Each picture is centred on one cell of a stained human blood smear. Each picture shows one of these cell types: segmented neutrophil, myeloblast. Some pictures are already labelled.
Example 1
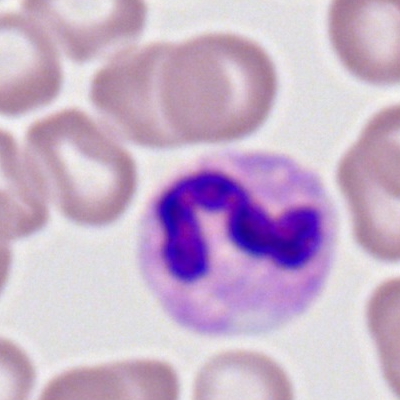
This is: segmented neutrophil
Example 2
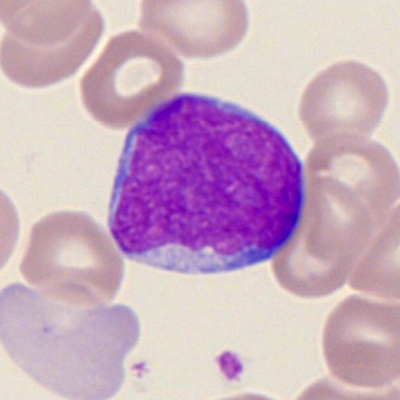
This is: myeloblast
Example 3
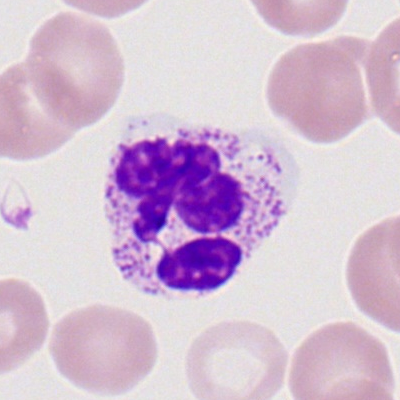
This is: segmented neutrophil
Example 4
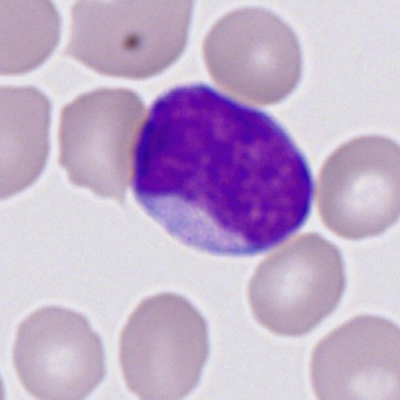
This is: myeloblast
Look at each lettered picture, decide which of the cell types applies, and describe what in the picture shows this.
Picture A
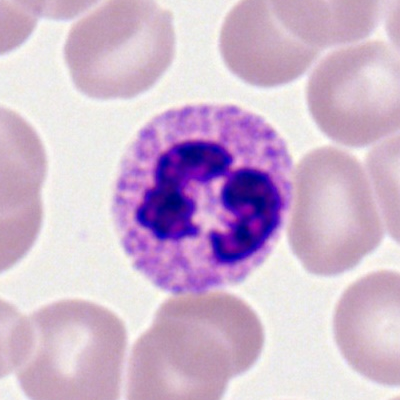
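Label: segmented neutrophil. The cytoplasm is abundant and pale pinkish-lilac.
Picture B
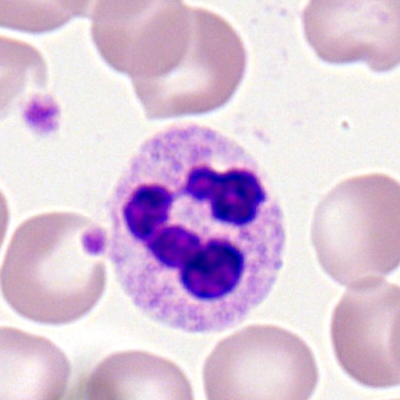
Label: segmented neutrophil. The cytoplasm is pale pinkish-lilac.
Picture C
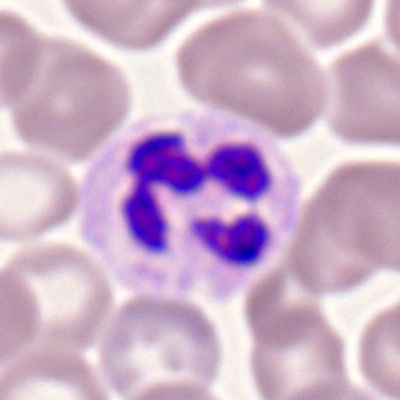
Label: segmented neutrophil. The cytoplasm is plentiful and pale lilac-pink.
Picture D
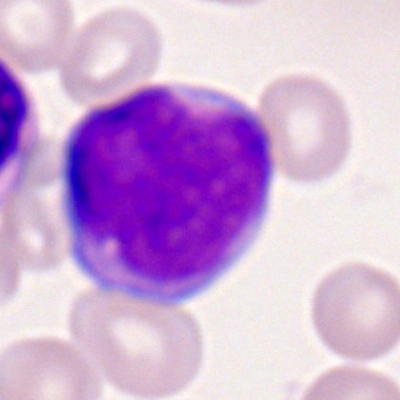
Label: myeloblast. The nucleus fills most of the cell.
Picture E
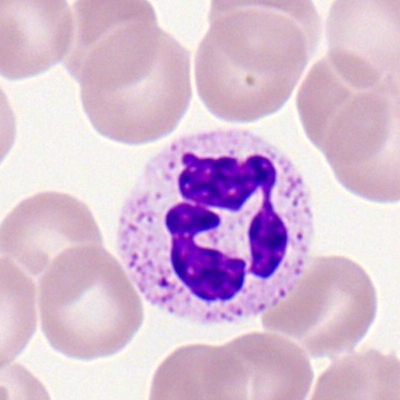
Label: segmented neutrophil. The cytoplasm is plentiful and pale pink.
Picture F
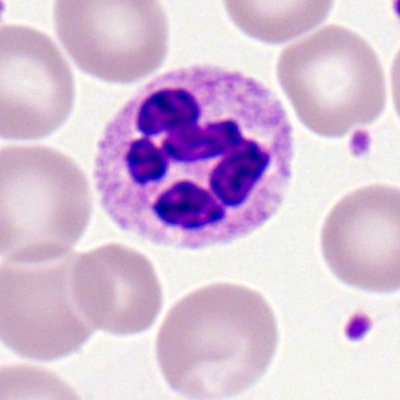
Label: segmented neutrophil. The nucleus is split into more than three separate lobes.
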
